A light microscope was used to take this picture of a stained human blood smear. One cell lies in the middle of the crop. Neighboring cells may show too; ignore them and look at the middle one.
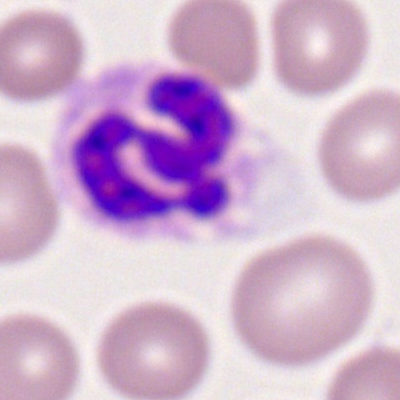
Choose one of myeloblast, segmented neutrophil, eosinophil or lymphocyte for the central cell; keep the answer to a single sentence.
Where the crop is centred, there is a segmented neutrophil.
